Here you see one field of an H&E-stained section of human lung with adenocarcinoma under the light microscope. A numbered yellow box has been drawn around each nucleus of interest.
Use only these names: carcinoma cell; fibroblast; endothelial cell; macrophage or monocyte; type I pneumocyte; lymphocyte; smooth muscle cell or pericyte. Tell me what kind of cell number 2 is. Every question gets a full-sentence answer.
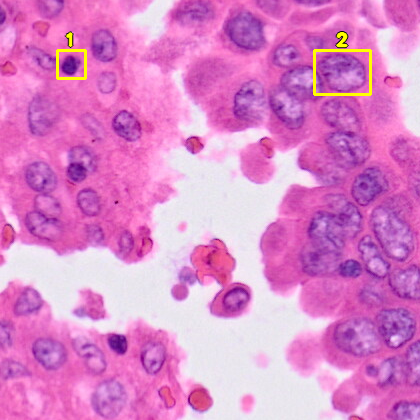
Identified by the number 2, the cell is a carcinoma cell.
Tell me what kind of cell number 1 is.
The cell pointed out as number 1 is a lymphocyte.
